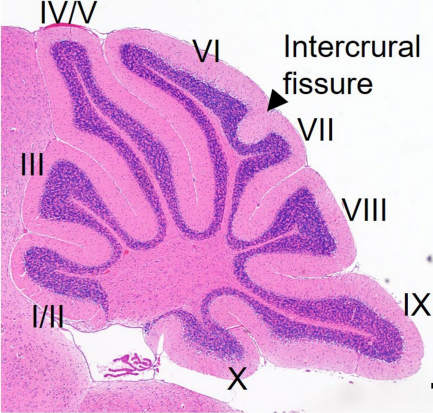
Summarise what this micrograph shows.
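A sagittal section of the cerebellum shows its folded cortex divided into lobules that radiate from a central pale pink core. Each lobule has a dark purple inner band of densely packed nuclei and a pale pink outer band toward the surface. Deep fissures separate neighbouring lobules, and the pale core branches into each of them.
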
